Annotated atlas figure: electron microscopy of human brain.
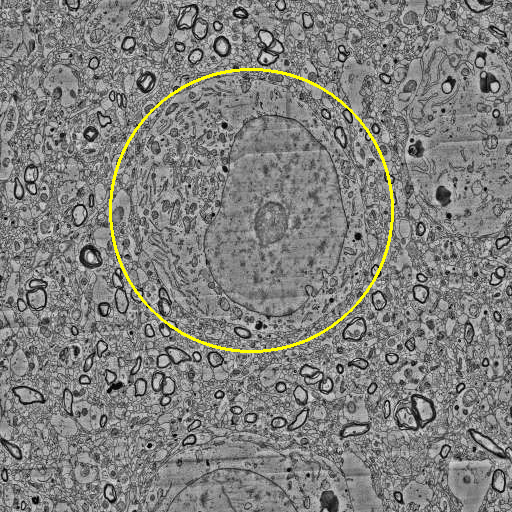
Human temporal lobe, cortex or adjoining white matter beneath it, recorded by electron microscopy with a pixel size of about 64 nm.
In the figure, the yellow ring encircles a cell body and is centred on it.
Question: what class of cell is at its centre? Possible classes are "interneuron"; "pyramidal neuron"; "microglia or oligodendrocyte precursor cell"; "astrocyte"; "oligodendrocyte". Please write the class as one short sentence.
The yellow ring is drawn around an interneuron.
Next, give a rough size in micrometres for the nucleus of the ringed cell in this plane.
About 13 by 9 micrometers for the nucleus, in this plane.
